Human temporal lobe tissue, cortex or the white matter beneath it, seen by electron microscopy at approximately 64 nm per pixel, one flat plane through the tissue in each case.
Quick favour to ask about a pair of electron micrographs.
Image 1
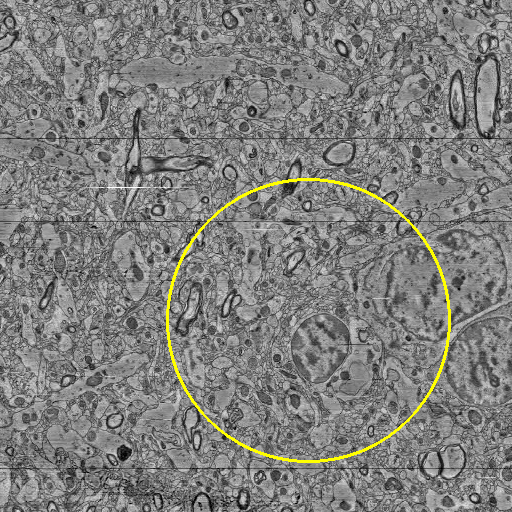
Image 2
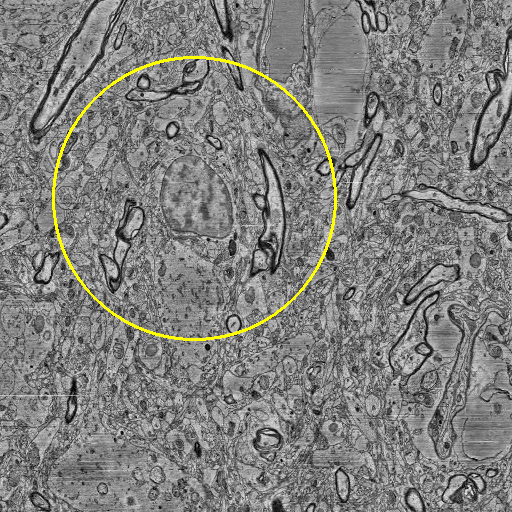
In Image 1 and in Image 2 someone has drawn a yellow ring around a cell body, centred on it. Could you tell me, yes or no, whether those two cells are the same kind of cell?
yes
